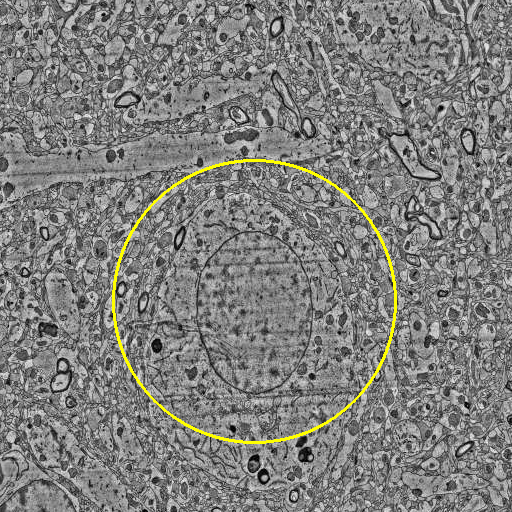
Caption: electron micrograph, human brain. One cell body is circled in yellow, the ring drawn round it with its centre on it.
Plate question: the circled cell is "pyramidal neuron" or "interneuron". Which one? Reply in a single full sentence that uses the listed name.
The yellow ring on the plate is centred on a pyramidal neuron, going by the listed names.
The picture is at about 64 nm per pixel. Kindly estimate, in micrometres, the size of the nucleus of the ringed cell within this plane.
The nucleus of the ringed cell is approximately 10 by 7 micrometres in this plane.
